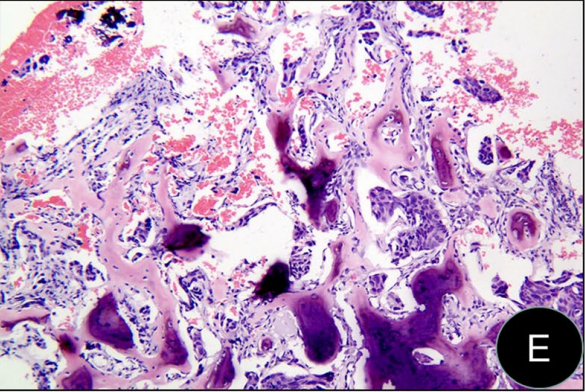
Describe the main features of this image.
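Small nests of tumour cells sit in those spaces. The trabeculae are irregular pink fragments, and some contain dense dark purple patches. The spaces hold loose pale stroma with scattered spindle-shaped nuclei and many red blood cells. The tumour cells form compact clusters with crowded, dark-staining nuclei, some of which look enlarged and uneven. Normal marrow with fat cells and mixed blood-forming cells is not seen. A zone of free blood runs along the upper edge of the field.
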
